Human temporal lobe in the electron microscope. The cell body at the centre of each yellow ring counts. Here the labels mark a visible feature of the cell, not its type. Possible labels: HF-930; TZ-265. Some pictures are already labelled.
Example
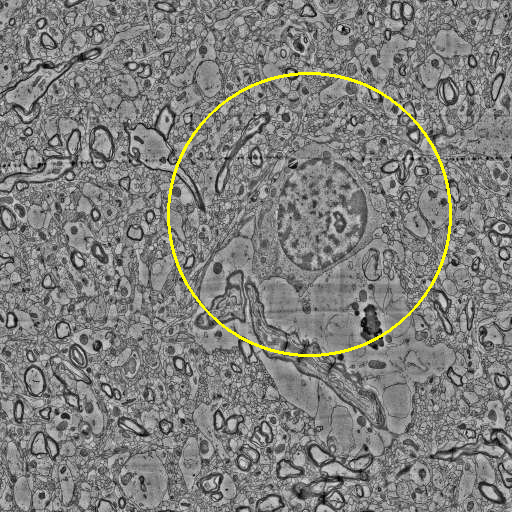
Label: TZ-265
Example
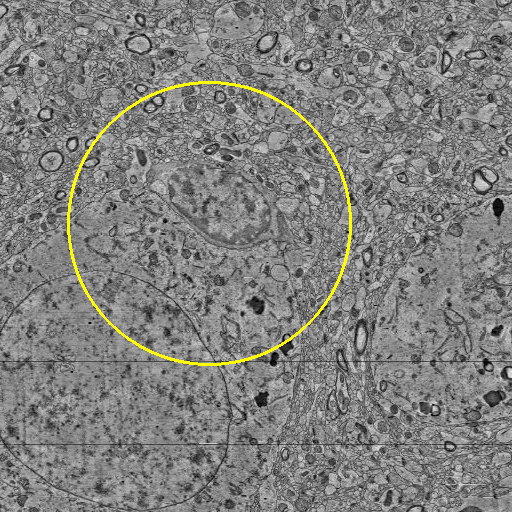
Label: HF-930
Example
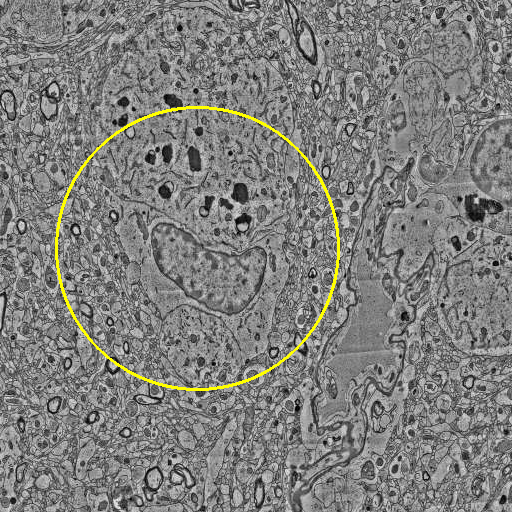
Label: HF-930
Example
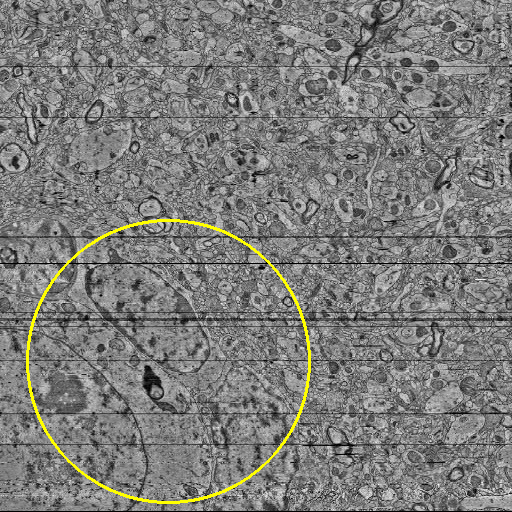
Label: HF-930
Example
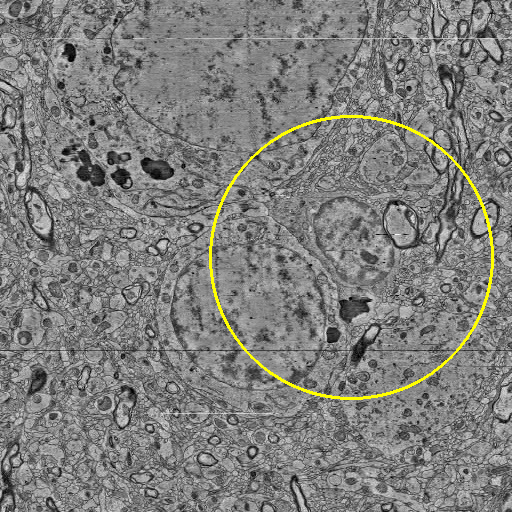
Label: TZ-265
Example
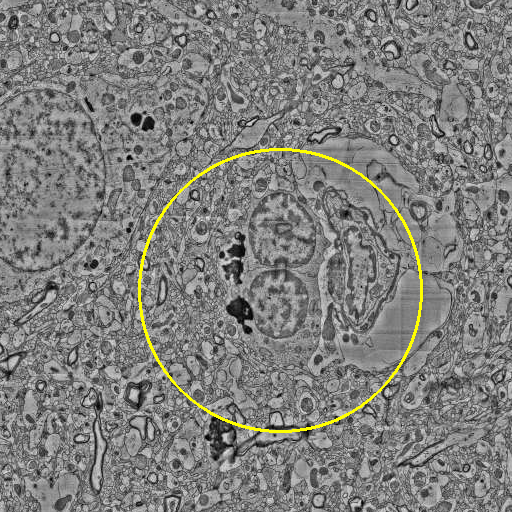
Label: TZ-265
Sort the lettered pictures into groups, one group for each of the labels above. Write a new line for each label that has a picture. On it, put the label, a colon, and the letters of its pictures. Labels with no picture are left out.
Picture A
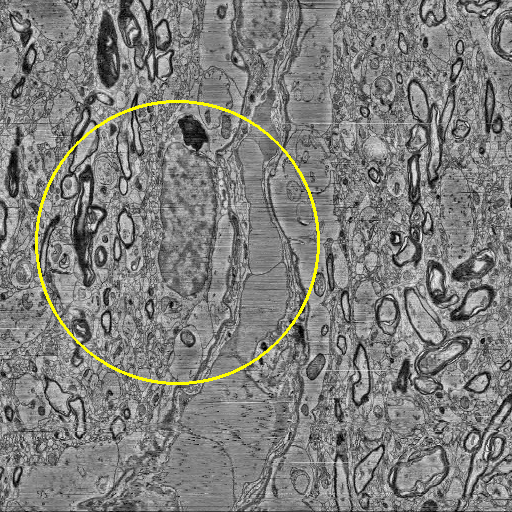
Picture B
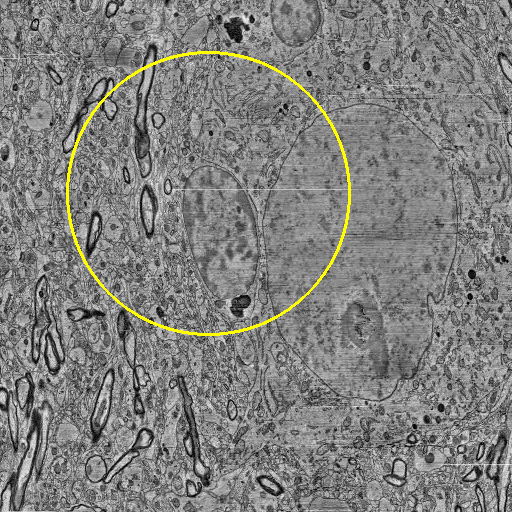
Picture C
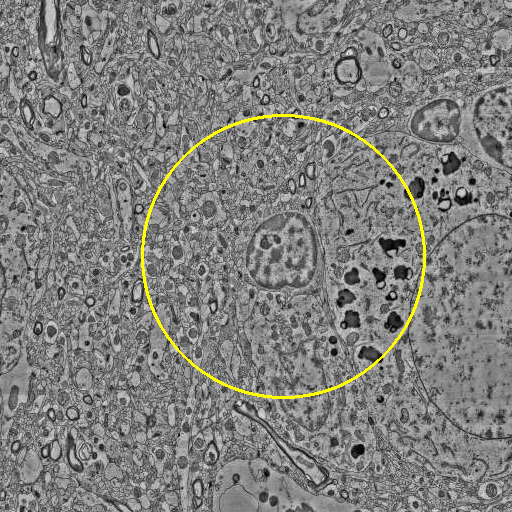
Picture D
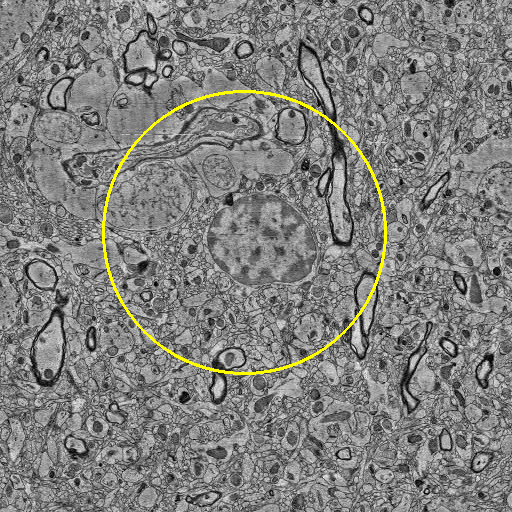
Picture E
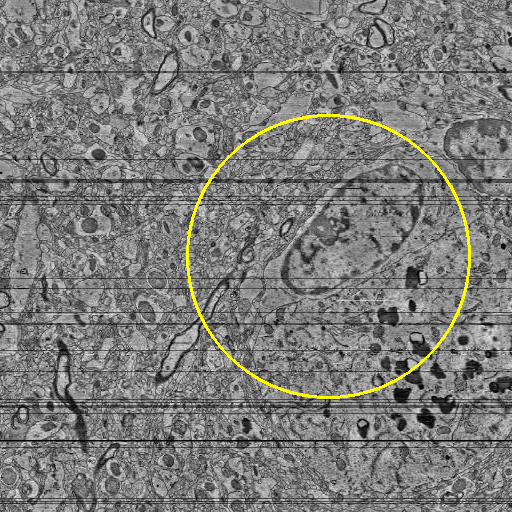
HF-930: A, B, E
TZ-265: C, D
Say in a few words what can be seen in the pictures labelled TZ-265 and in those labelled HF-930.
Seen in TZ-265: round or nearly round nuclei; seen in HF-930: clearly elongated nuclei.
